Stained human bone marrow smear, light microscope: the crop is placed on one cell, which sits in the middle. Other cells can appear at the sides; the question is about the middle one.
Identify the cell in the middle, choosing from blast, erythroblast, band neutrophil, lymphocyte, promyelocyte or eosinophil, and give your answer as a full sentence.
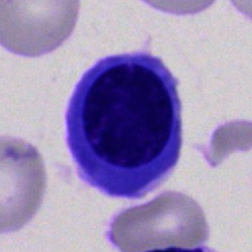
The cell featured at the centre of this crop is an erythroblast.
